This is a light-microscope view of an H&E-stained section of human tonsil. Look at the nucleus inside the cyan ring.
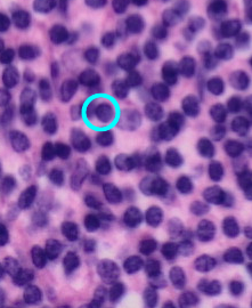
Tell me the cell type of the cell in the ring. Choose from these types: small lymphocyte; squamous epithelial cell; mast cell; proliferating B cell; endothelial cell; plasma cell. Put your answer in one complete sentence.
The cell type represented by the cell in the ring is that of a small lymphocyte.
